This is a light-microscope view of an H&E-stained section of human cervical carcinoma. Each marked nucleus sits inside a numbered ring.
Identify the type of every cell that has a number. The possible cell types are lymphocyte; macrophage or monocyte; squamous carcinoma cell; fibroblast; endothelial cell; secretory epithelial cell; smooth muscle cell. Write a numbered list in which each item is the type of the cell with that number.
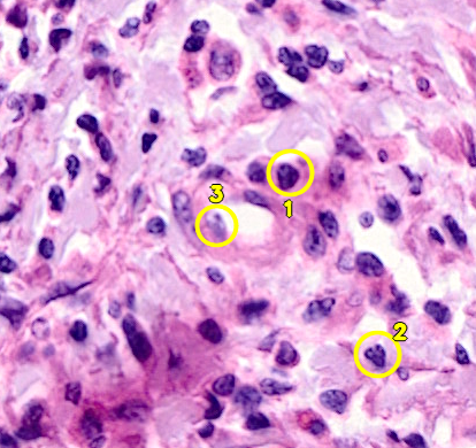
1. lymphocyte
2. lymphocyte
3. endothelial cell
